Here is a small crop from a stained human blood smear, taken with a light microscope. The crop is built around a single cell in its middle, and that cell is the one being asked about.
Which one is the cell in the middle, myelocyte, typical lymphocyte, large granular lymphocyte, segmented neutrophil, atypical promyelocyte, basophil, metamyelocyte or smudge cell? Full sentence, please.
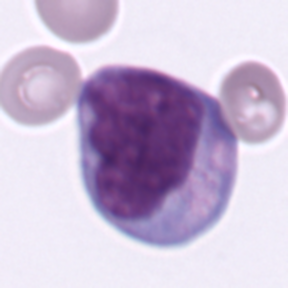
The cell centered in this field of view is an atypical promyelocyte.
